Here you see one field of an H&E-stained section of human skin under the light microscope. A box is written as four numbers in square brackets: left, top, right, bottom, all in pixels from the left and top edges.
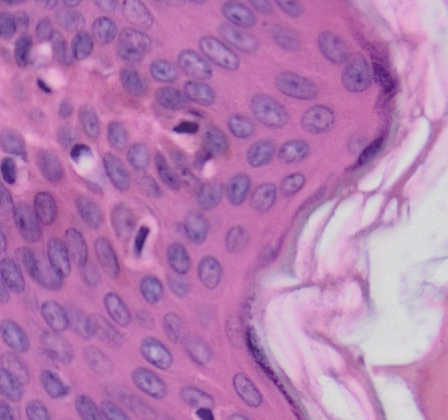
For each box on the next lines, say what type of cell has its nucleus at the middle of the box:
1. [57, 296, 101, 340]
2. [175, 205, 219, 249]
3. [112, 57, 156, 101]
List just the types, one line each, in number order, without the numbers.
suprabasal keratinocyte
suprabasal keratinocyte
basal keratinocyte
